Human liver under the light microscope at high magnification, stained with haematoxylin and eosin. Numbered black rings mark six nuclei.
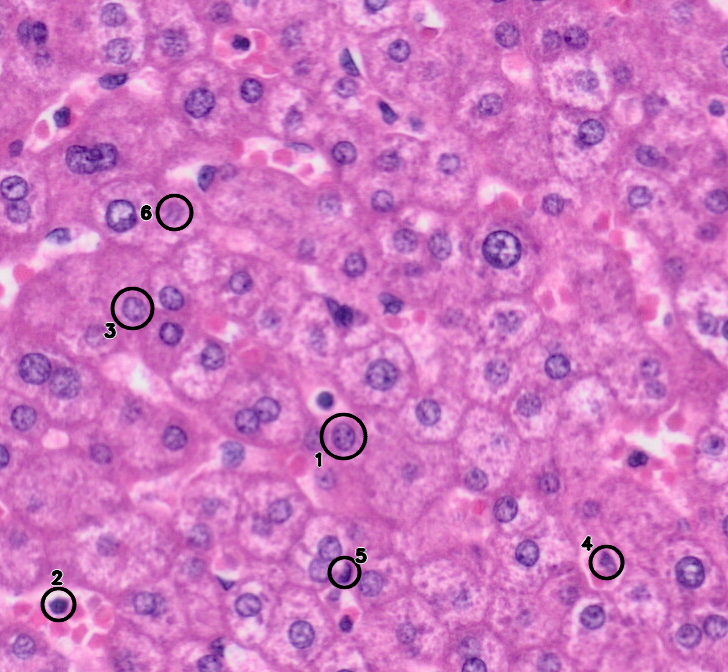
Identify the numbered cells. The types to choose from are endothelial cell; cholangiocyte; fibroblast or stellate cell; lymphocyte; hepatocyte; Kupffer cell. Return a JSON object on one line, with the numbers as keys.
{"1": "hepatocyte", "2": "lymphocyte", "3": "hepatocyte", "4": "Kupffer cell", "5": "fibroblast or stellate cell", "6": "hepatocyte"}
